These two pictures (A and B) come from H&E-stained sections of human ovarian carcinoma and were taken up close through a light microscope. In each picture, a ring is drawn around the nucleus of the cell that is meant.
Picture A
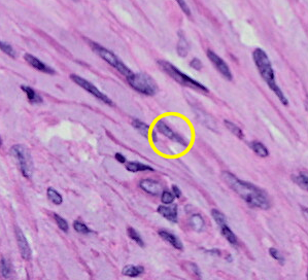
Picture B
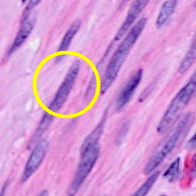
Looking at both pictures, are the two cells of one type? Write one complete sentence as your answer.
No. Picture A shows a fibroblast, but picture B shows a smooth muscle cell.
